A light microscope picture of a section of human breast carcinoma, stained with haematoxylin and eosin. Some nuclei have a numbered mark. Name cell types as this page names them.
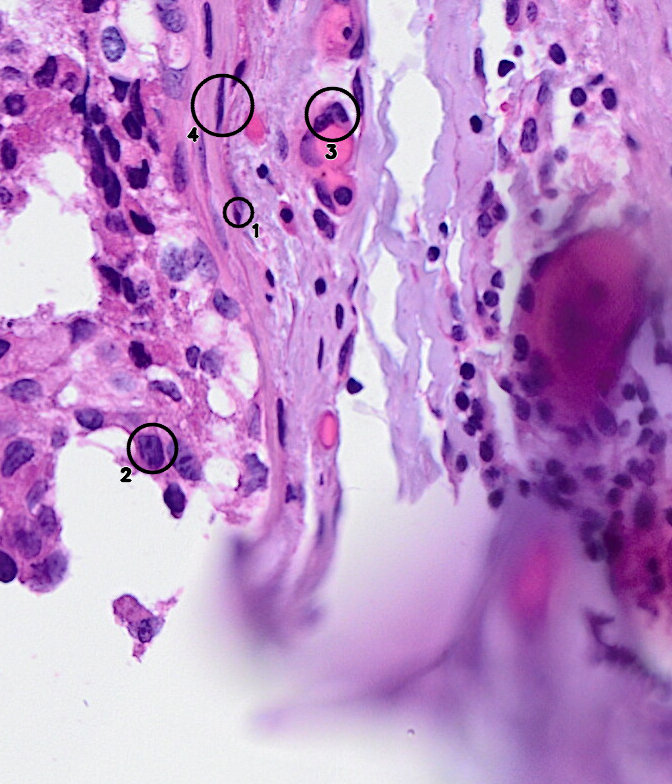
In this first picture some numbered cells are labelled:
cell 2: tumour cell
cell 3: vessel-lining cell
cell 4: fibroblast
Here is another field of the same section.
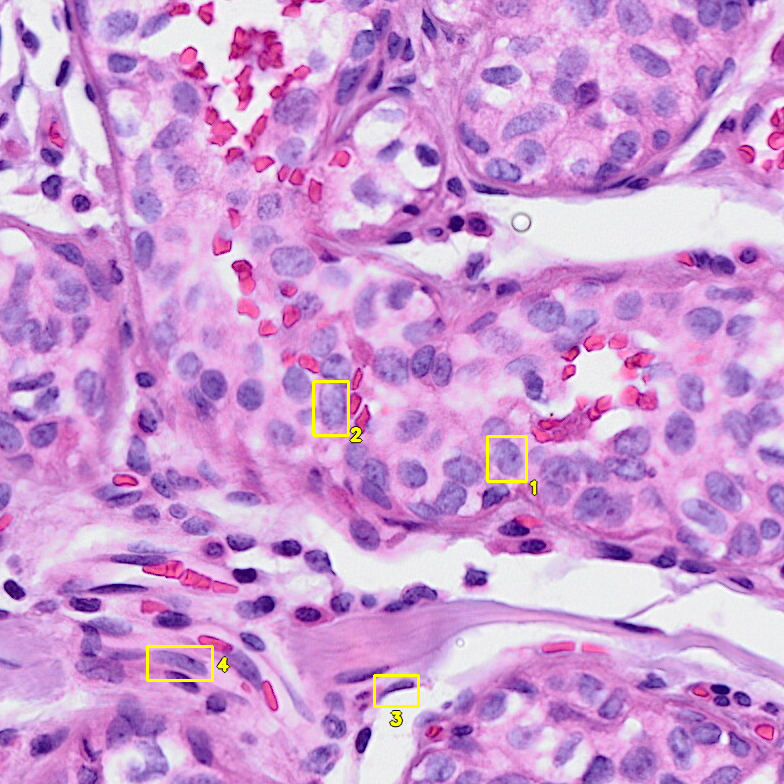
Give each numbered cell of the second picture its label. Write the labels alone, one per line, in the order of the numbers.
tumour cell
tumour cell
fibroblast
vessel-lining cell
